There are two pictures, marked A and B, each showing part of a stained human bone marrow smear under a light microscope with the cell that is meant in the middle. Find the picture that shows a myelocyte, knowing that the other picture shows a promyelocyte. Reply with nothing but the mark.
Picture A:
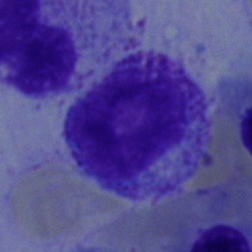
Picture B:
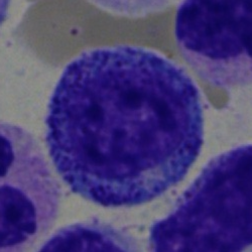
A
